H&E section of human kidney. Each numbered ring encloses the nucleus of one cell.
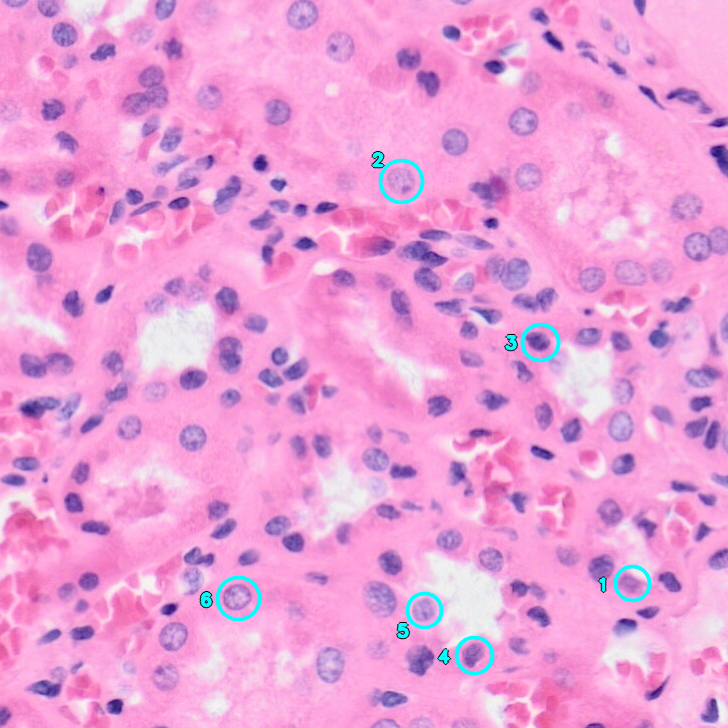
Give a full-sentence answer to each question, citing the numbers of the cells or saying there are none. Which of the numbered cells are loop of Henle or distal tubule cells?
Cells that were given the numbers 1, 3, 4 and 5 are loop of Henle or distal tubule cells.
